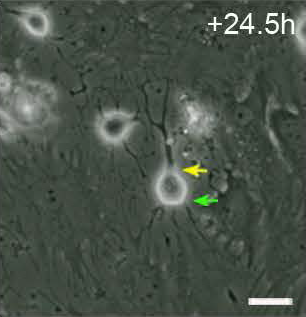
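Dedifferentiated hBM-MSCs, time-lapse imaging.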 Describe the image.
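A thin process leaves its upper pole and runs upward, while short processes extend from its lower side. Nearby lie other bright rounded cell bodies and an area of granular, irregular material.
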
